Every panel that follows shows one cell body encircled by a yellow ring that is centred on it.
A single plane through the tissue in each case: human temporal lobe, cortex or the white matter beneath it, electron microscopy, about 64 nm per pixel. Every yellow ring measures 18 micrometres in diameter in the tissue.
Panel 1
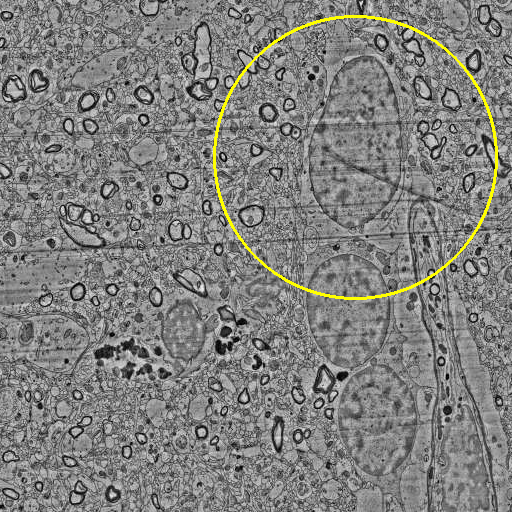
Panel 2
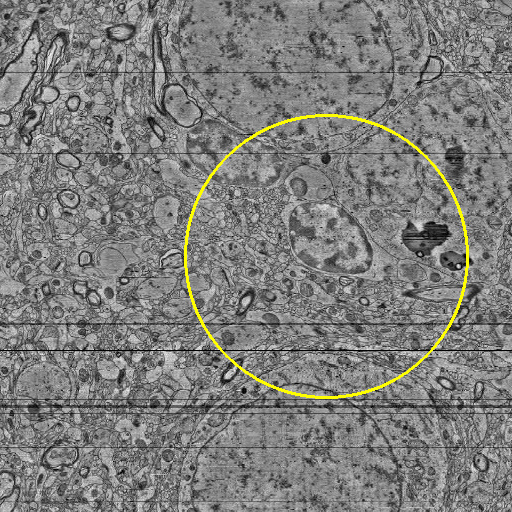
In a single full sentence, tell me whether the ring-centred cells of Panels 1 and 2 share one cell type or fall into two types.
In Panel 1 and Panel 2, the cells at the ring centres share one cell type.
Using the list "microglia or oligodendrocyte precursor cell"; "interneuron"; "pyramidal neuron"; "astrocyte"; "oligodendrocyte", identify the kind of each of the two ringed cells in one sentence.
Both the first and the second picture show a microglial cell or oligodendrocyte precursor cell in the ring.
